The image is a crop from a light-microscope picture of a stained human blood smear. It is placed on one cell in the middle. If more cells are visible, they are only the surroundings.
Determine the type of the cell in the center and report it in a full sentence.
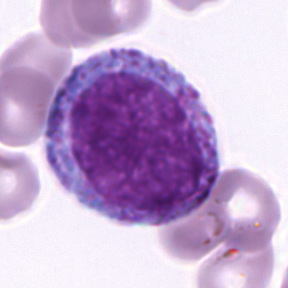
The cell in the exact centre of the crop is a promyelocyte.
